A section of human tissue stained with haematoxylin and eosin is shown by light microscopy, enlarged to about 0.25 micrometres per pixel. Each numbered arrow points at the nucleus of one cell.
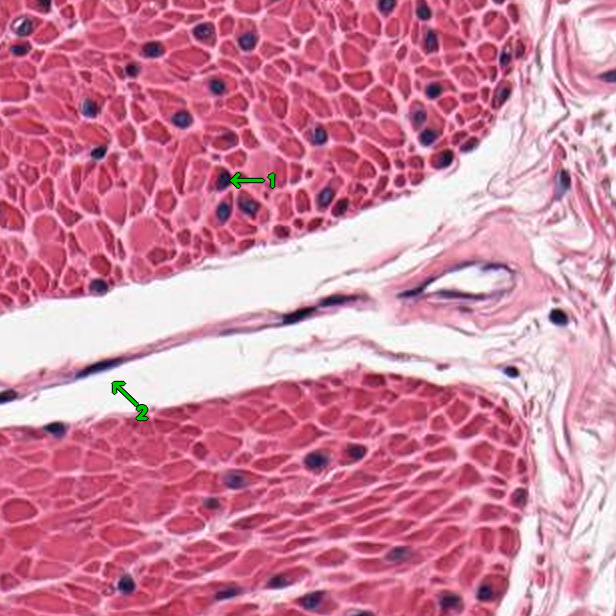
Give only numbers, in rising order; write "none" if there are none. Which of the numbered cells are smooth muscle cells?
1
